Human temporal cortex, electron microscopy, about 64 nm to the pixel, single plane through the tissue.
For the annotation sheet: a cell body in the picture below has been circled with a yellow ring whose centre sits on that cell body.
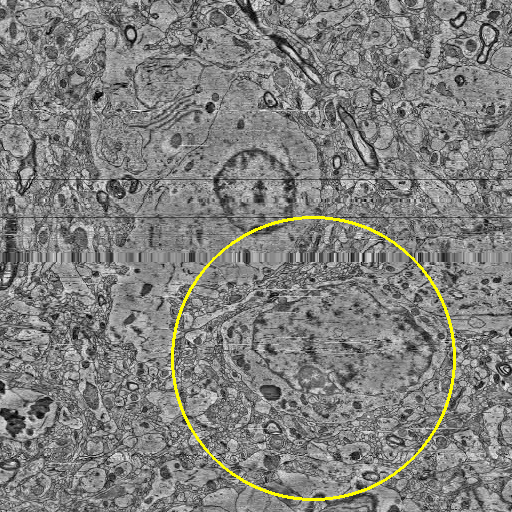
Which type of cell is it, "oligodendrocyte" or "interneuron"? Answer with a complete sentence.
The circled cell is an interneuron.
